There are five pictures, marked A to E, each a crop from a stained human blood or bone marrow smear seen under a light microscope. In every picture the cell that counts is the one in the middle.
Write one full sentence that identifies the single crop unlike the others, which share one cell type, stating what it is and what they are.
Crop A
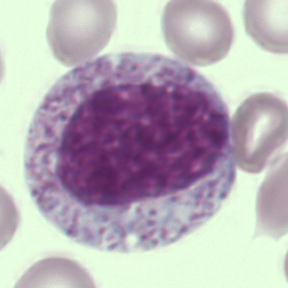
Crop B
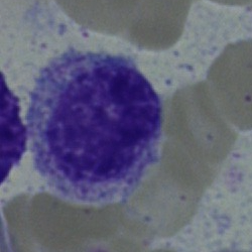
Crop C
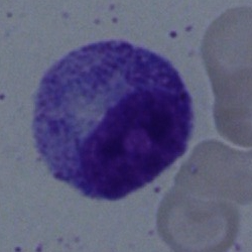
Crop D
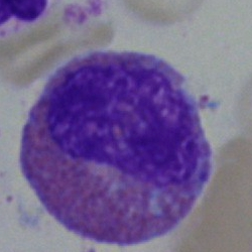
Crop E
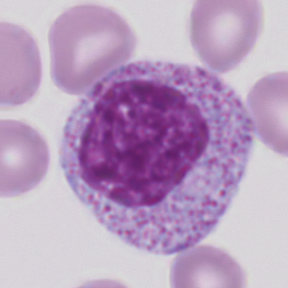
Crop D, showing an eosinophil, is the exception; the others all show myelocytes.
